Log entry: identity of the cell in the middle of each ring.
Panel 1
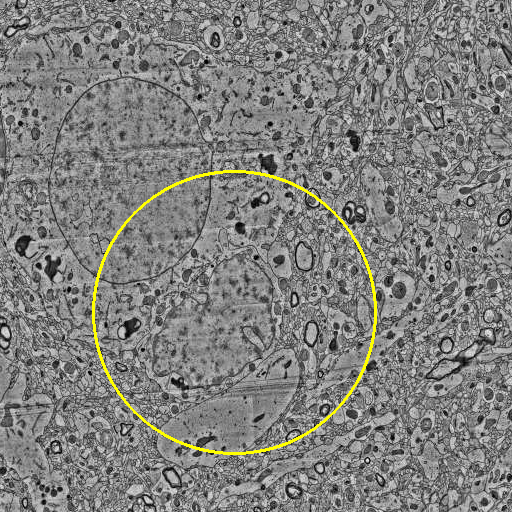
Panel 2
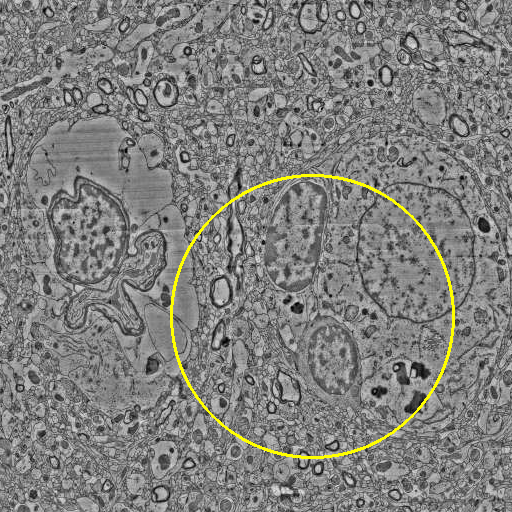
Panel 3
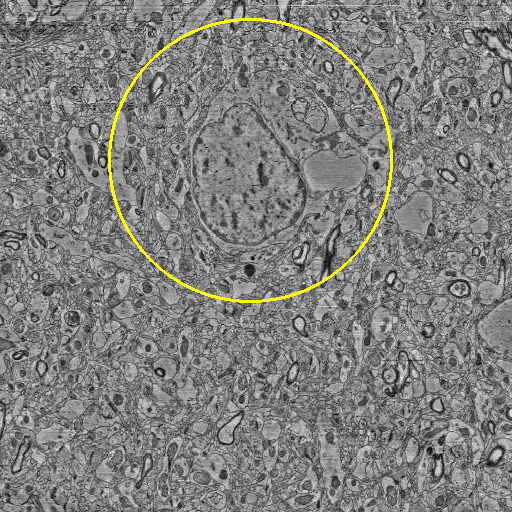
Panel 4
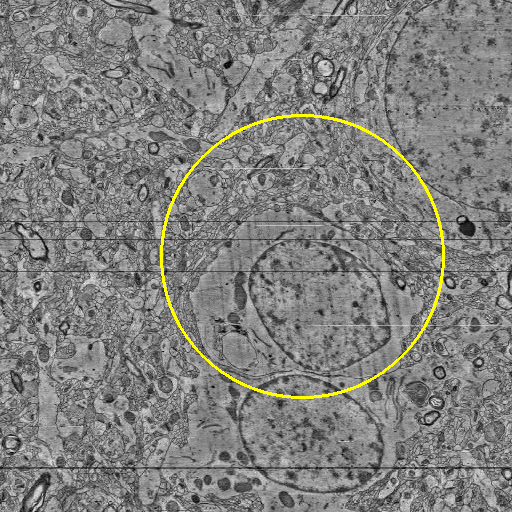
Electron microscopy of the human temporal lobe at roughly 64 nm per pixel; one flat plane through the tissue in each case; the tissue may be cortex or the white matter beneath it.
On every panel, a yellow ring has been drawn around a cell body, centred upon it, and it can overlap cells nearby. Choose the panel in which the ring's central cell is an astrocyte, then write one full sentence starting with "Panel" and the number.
Panel 4 shows the requested cell sitting in the middle of its ring.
